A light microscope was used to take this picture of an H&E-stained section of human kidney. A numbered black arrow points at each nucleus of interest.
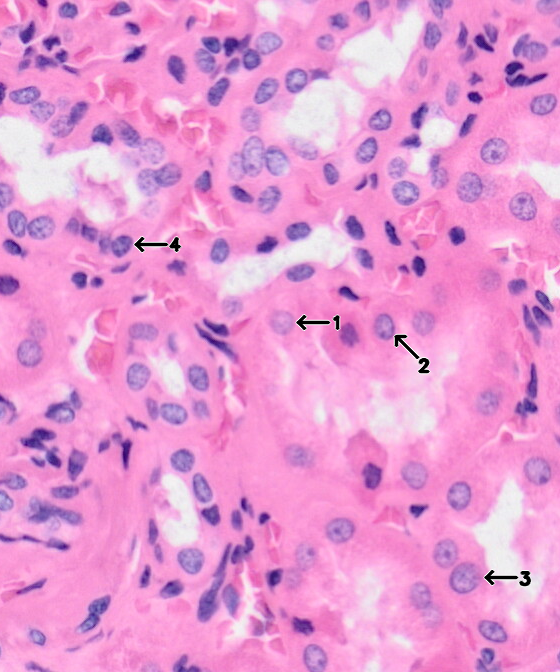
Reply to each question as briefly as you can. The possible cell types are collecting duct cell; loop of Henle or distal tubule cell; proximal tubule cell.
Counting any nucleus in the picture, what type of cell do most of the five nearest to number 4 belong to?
collecting duct cell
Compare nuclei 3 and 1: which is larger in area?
3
